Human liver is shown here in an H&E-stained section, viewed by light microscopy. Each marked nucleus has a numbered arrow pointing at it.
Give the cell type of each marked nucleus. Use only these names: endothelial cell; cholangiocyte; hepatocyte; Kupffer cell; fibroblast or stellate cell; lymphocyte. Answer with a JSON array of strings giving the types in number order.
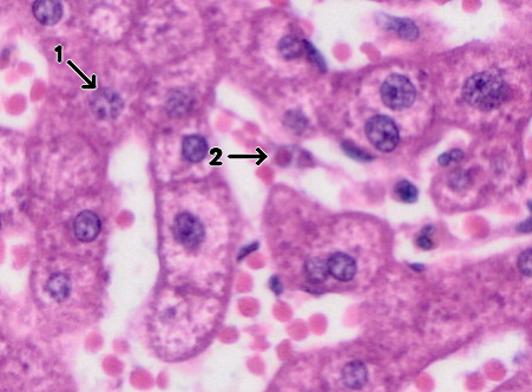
["hepatocyte", "Kupffer cell"]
